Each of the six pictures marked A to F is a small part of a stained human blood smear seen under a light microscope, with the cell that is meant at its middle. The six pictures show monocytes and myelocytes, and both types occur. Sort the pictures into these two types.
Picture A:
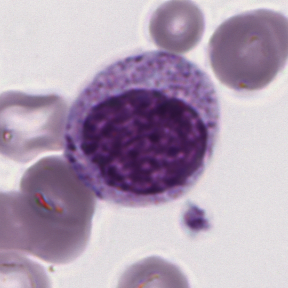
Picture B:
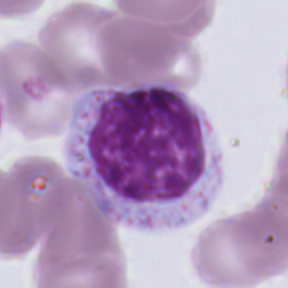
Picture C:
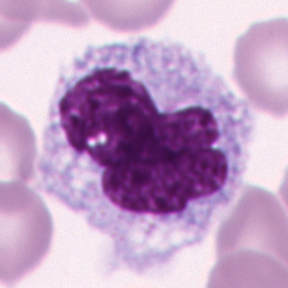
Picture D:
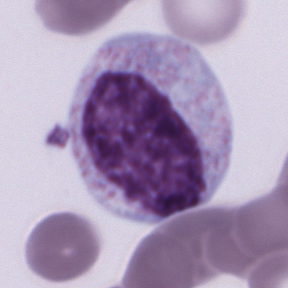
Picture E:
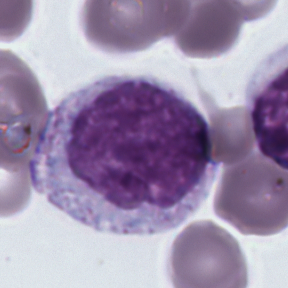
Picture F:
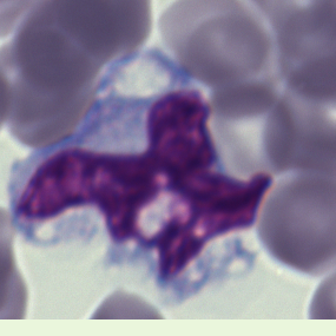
A: myelocyte
B: myelocyte
C: monocyte
D: myelocyte
E: myelocyte
F: monocyte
